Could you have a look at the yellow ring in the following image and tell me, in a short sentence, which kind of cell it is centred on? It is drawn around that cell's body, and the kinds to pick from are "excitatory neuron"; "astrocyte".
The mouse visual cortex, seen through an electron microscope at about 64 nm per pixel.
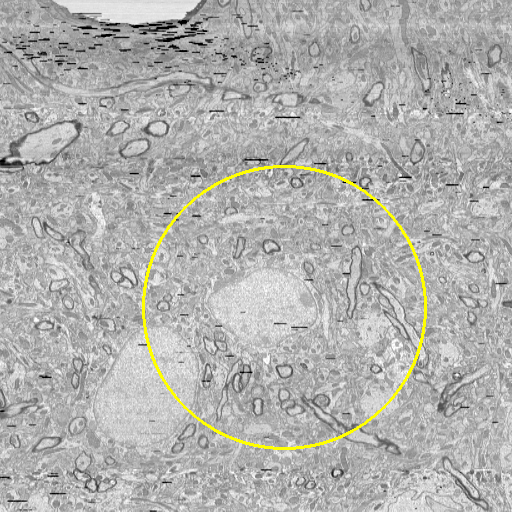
The ring is centred on the body of an astrocyte.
